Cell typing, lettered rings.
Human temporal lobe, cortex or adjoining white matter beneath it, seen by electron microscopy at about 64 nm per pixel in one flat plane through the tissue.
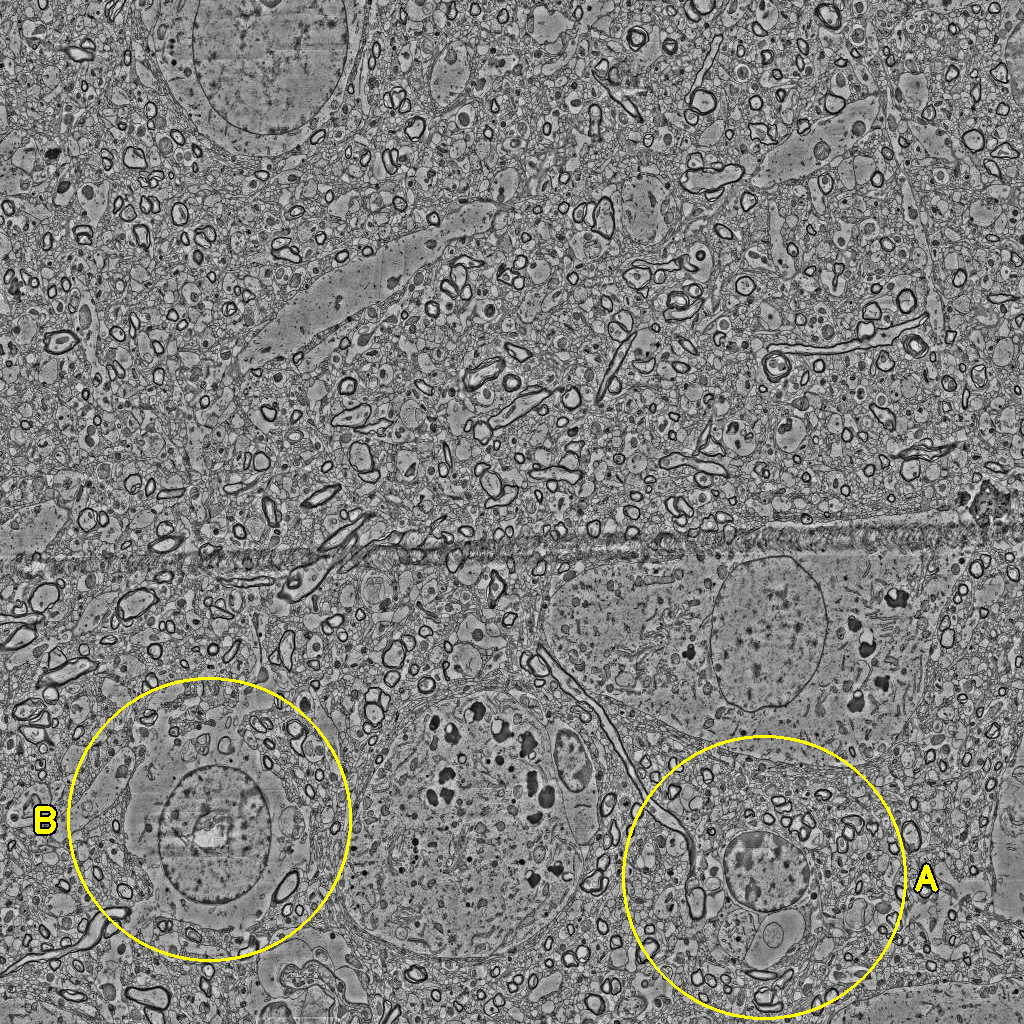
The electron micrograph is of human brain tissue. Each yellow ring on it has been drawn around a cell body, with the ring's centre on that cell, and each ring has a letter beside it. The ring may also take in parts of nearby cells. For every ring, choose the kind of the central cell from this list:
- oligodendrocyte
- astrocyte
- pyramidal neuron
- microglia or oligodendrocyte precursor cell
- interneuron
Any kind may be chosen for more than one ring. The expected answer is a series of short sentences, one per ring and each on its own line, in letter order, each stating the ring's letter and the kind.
For ring A, the centred cell is a microglial cell or oligodendrocyte precursor cell.
For ring B, the centred cell is an astrocyte.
